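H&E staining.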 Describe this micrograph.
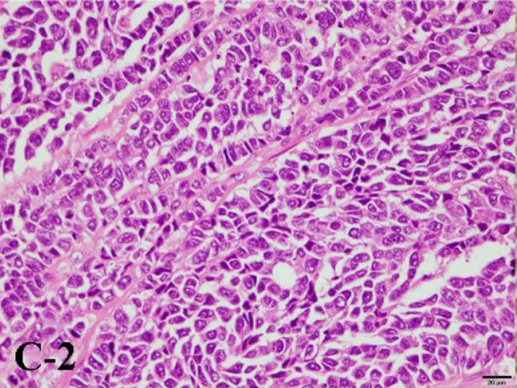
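A densely cellular tumour whose cells lie in sheets and in elongated cords, separated by thin pink strands of fibrous stroma. The nuclei are dark purple, crowded and plainly unequal in size and shape, with only a narrow rim of pink cytoplasm.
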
